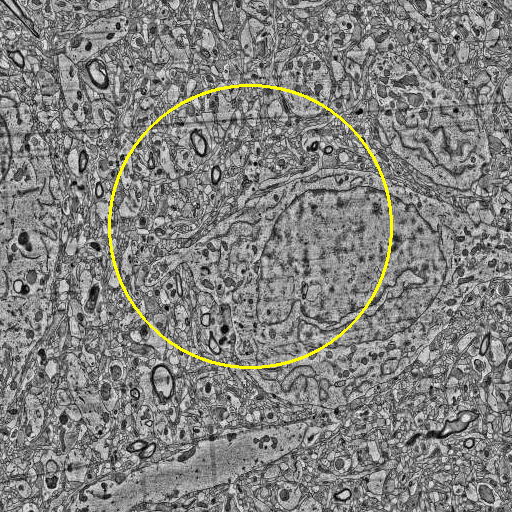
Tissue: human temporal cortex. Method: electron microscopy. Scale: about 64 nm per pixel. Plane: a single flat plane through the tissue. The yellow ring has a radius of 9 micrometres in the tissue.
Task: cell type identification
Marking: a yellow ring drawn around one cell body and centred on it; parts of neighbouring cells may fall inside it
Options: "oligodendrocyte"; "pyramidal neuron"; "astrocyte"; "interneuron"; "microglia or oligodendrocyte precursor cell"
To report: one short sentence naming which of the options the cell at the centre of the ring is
The cell at the centre of the ring is an oligodendrocyte.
